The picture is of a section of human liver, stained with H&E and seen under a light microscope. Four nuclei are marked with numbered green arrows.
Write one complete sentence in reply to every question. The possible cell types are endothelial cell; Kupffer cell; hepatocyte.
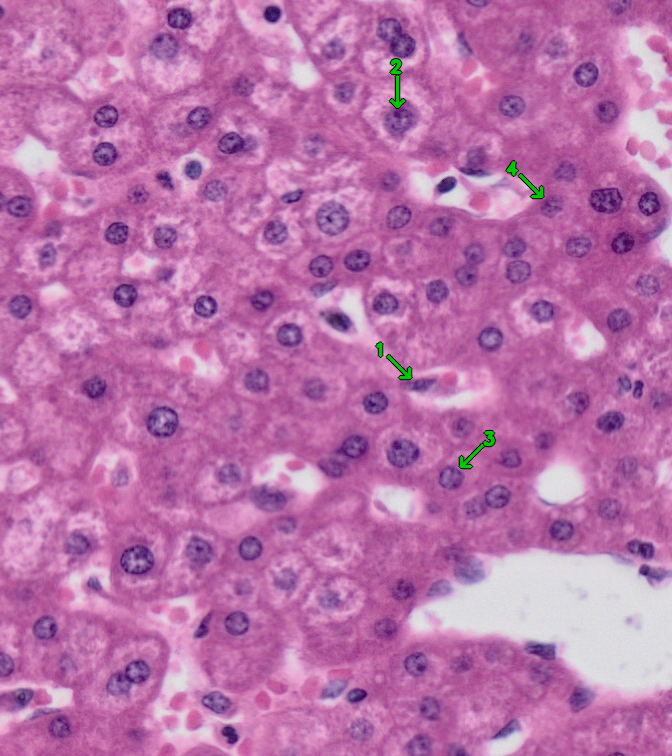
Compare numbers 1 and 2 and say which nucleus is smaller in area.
The smaller nucleus is 1, and 2 covers roughly 1.5 times its area.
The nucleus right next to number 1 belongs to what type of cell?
Closest to number 1 lies the nucleus of a hepatocyte.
